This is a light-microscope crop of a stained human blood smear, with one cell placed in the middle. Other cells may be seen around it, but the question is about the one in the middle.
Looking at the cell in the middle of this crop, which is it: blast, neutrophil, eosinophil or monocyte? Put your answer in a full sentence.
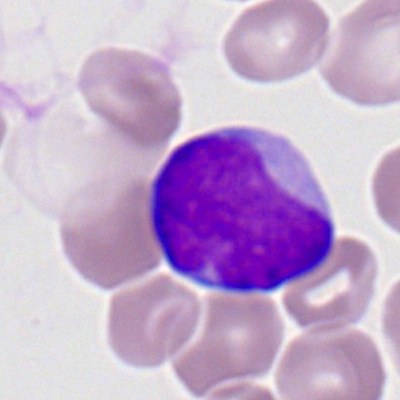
The central cell, amid any neighbouring cells, is a blast.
